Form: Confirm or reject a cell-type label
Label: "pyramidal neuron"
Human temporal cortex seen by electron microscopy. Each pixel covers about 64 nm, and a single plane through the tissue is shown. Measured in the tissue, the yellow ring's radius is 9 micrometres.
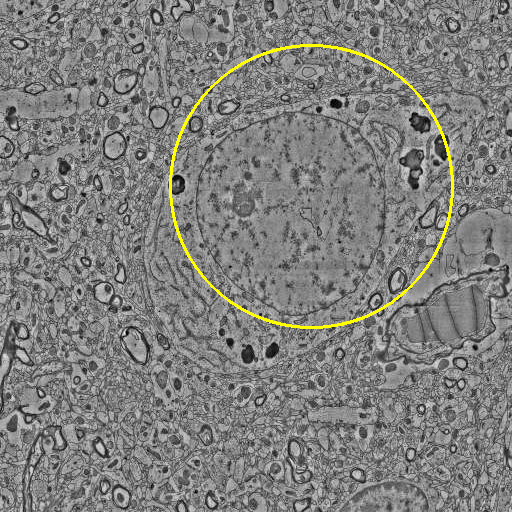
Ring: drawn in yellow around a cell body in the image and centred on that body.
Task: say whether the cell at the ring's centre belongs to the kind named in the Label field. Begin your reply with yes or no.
Yes, it belongs to that kind.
